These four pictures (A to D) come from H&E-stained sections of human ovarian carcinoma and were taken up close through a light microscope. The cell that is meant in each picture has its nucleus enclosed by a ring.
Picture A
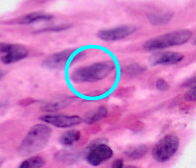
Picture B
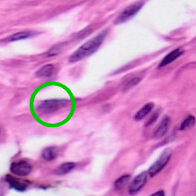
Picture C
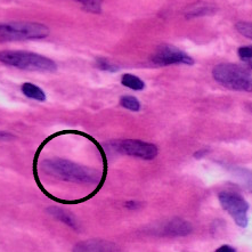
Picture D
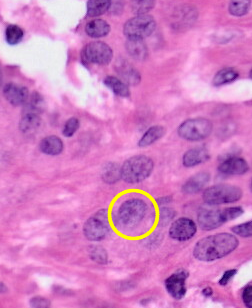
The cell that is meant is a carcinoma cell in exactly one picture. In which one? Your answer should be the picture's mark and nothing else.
D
